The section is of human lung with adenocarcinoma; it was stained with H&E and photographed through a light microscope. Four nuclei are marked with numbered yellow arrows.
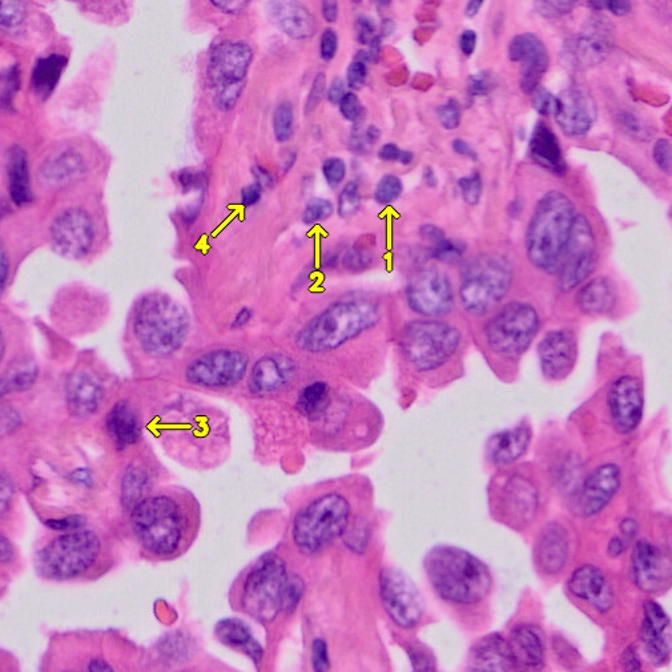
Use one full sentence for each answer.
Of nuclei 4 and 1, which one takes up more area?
Nucleus 1 is the larger one, covering about 1.5 times the area of nucleus 4.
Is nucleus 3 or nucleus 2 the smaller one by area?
Nucleus 2 covers less area, with nucleus 3 about 2.5 times as large.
